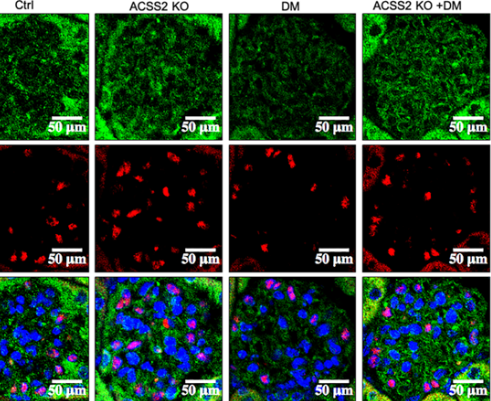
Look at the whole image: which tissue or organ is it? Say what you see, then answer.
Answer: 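The cluster is surrounded by tubule-like tissue with a stronger green cytoplasmic signal at the edges. On this evidence: glomerulus.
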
